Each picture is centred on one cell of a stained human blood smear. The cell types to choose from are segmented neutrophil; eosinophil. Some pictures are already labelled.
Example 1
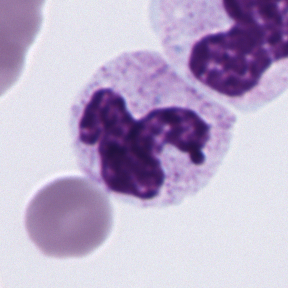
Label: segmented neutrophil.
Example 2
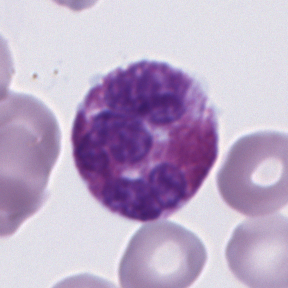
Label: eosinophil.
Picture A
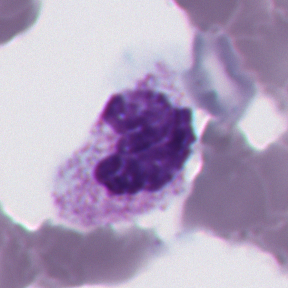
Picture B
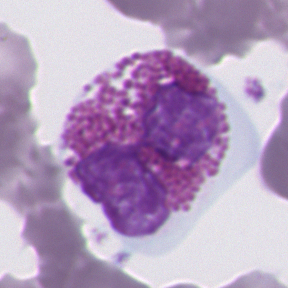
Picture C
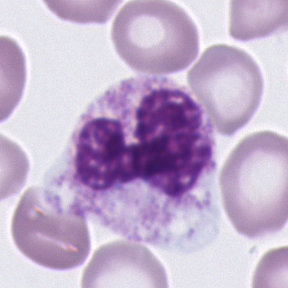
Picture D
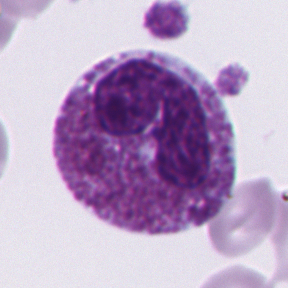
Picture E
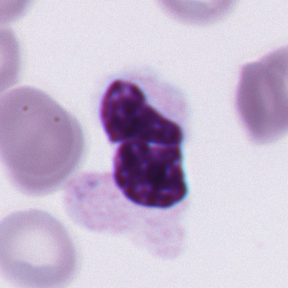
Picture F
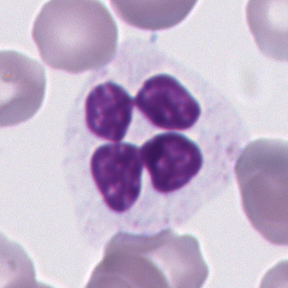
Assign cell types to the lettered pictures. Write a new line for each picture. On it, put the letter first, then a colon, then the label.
A: segmented neutrophil.
B: eosinophil.
C: segmented neutrophil.
D: eosinophil.
E: segmented neutrophil.
F: segmented neutrophil.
